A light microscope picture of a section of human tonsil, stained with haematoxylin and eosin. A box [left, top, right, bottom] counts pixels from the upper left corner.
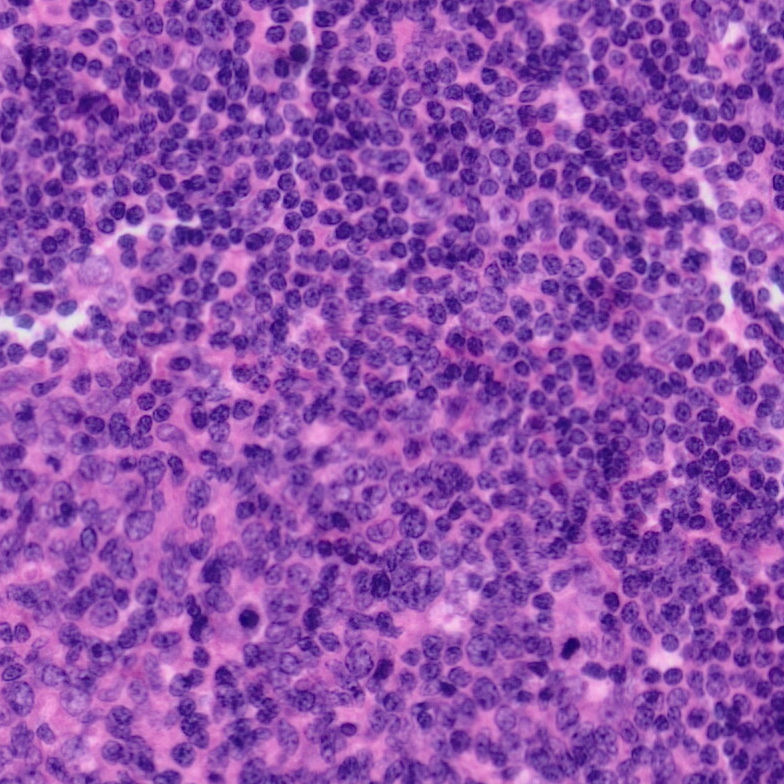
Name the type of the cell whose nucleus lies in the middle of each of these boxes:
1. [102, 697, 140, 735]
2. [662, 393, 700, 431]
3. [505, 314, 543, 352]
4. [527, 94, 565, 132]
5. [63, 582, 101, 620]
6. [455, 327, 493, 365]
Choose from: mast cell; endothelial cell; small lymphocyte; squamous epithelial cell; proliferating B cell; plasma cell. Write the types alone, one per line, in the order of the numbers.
proliferating B cell
small lymphocyte
small lymphocyte
small lymphocyte
proliferating B cell
small lymphocyte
